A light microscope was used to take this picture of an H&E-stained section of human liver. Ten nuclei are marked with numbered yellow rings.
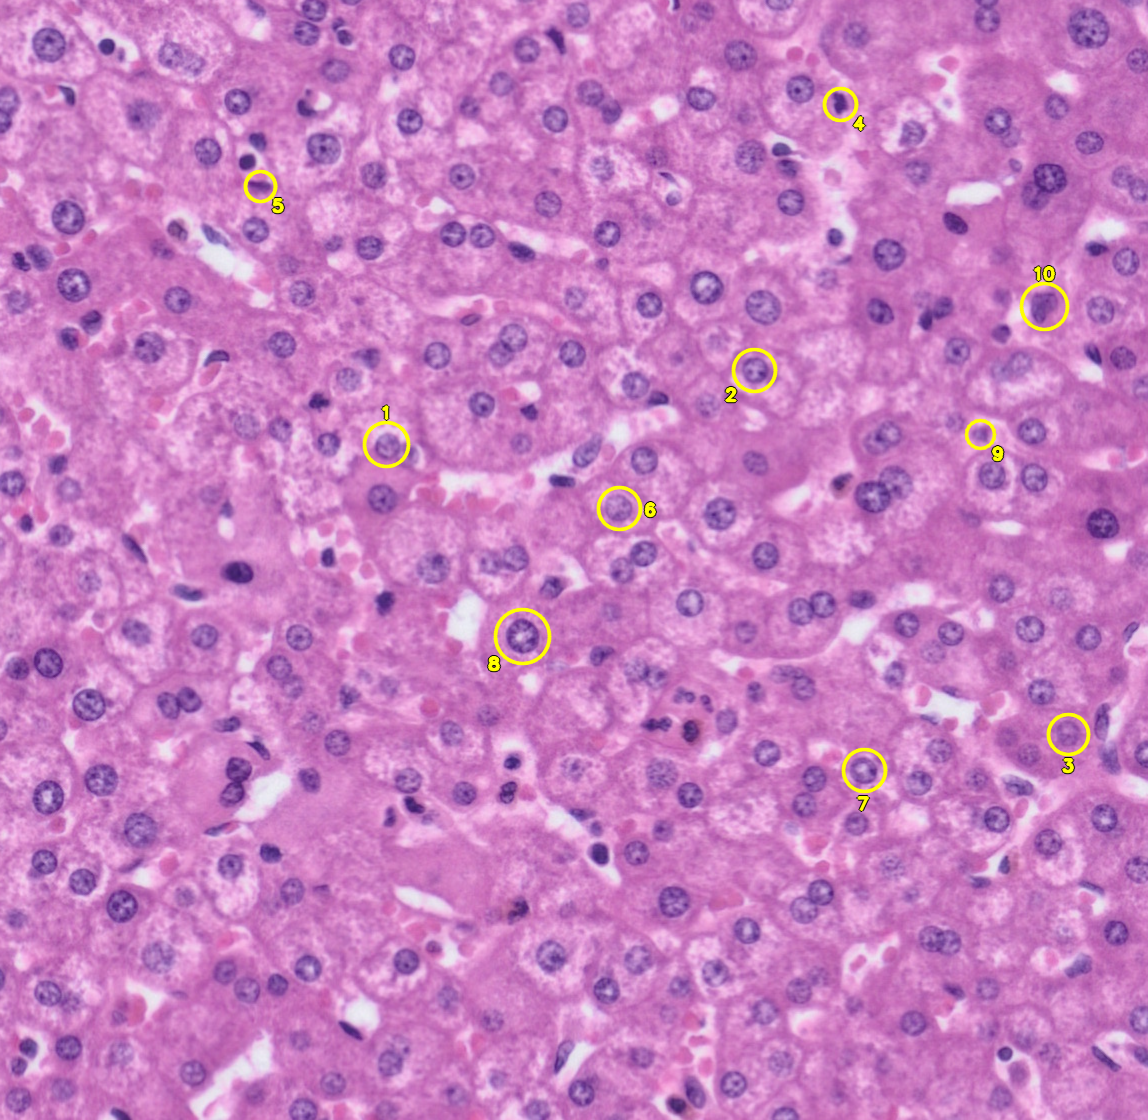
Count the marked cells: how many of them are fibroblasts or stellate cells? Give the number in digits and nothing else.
1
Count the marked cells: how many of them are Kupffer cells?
2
